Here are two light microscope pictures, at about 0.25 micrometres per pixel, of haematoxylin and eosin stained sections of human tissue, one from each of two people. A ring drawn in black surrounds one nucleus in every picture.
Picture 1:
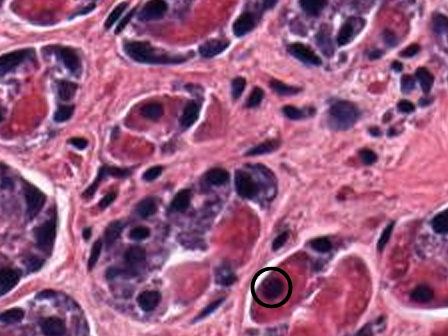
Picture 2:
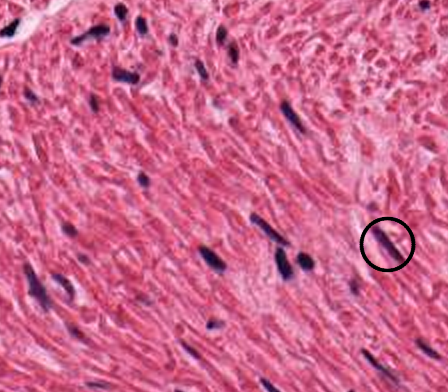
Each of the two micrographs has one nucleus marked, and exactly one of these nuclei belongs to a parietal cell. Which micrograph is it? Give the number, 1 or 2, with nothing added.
1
